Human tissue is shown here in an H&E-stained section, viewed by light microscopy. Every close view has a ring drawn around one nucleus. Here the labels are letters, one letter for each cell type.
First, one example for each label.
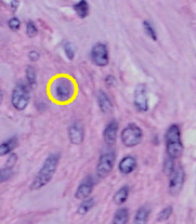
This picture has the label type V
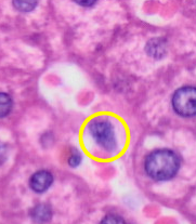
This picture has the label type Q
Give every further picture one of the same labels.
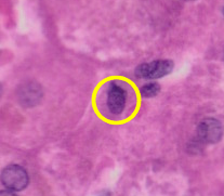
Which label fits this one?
type Q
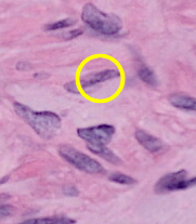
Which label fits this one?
type V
